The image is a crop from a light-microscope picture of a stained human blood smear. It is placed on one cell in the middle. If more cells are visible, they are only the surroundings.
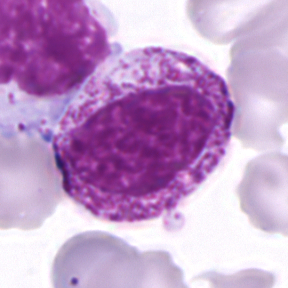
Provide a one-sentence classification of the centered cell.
The cell centred in this crop is categorized as a myelocyte.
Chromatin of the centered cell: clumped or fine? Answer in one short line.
The chromatin pattern is fine and free of coarse clumps.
